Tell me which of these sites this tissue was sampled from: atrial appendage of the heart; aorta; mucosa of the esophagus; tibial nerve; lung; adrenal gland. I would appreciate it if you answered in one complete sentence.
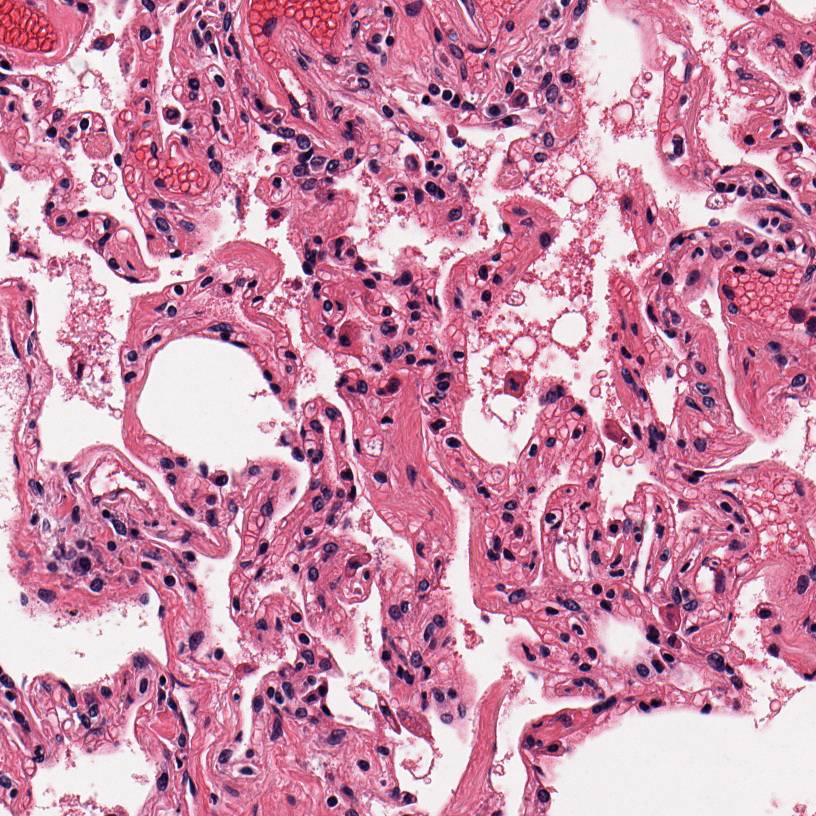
This section represents tissue sampled from the lung.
